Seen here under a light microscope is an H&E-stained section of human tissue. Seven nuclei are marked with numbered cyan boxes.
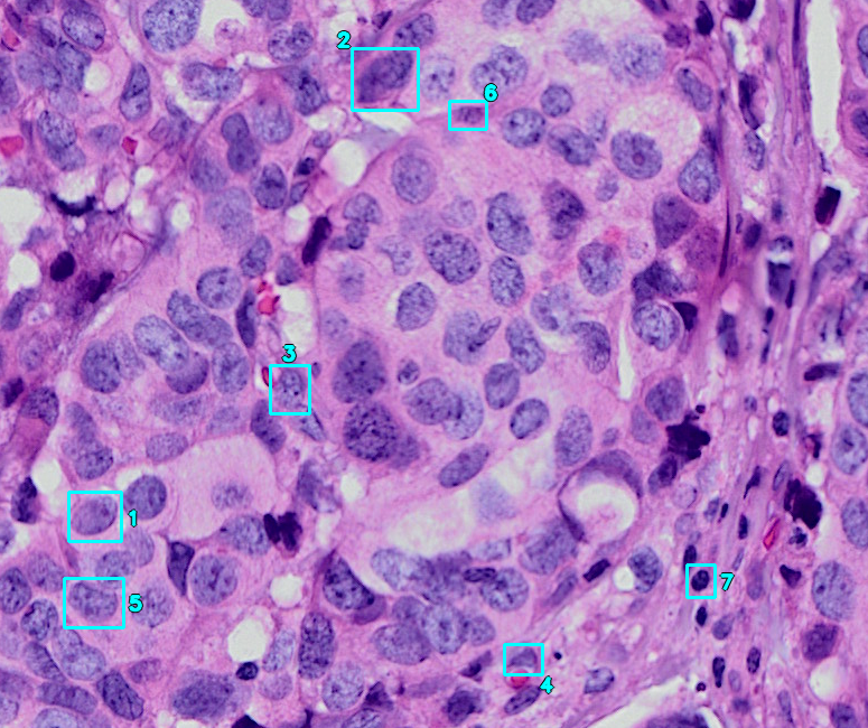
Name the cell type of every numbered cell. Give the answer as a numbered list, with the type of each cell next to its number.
1. carcinoma cell
2. carcinoma cell
3. endothelial cell
4. endothelial cell
5. carcinoma cell
6. carcinoma cell
7. lymphocyte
